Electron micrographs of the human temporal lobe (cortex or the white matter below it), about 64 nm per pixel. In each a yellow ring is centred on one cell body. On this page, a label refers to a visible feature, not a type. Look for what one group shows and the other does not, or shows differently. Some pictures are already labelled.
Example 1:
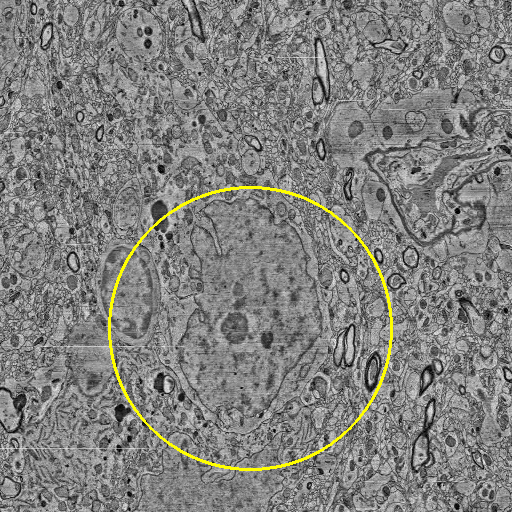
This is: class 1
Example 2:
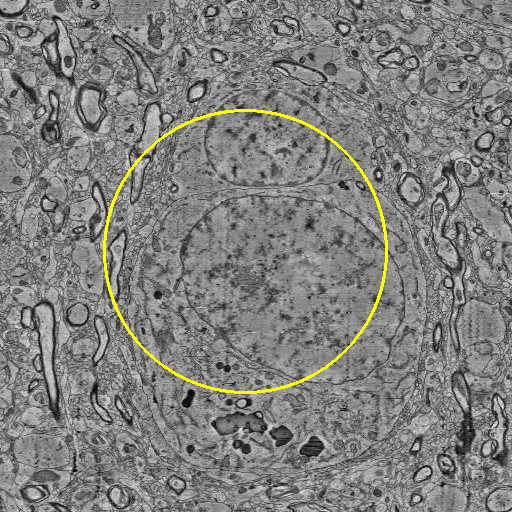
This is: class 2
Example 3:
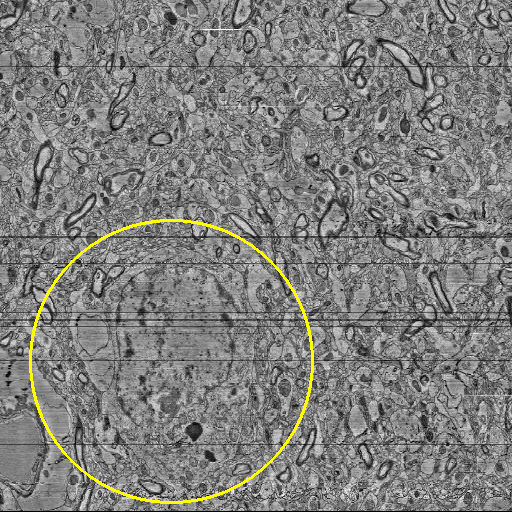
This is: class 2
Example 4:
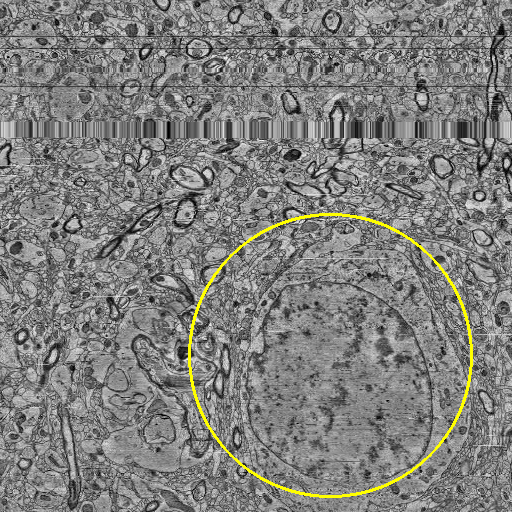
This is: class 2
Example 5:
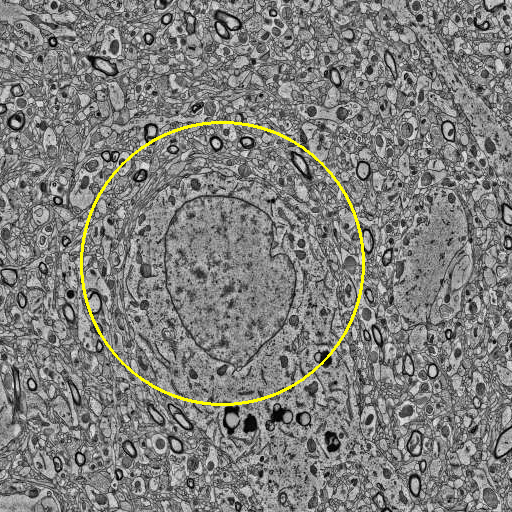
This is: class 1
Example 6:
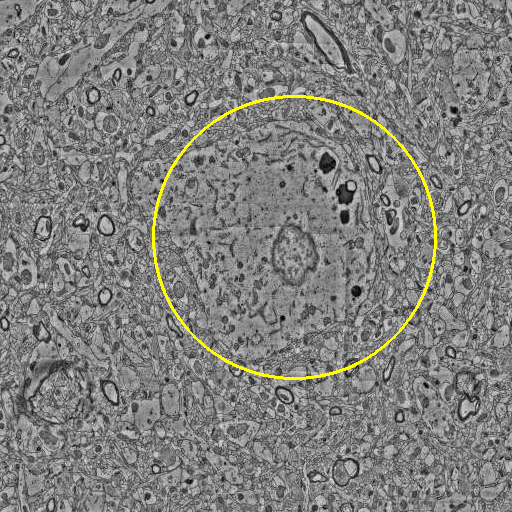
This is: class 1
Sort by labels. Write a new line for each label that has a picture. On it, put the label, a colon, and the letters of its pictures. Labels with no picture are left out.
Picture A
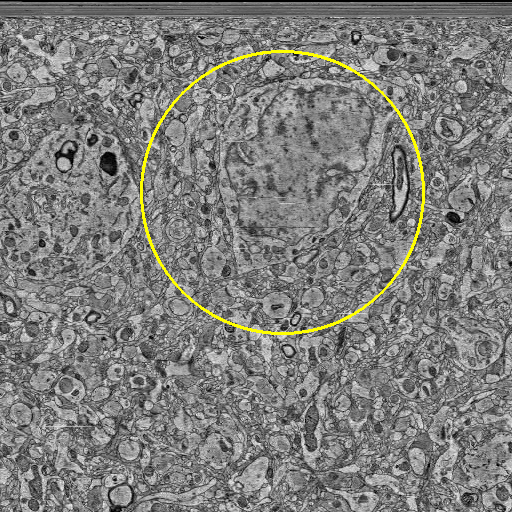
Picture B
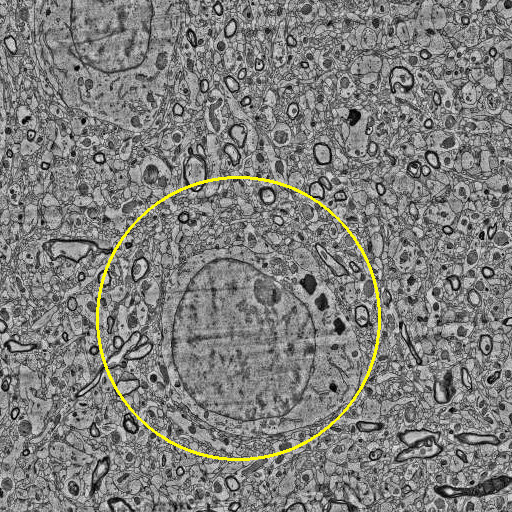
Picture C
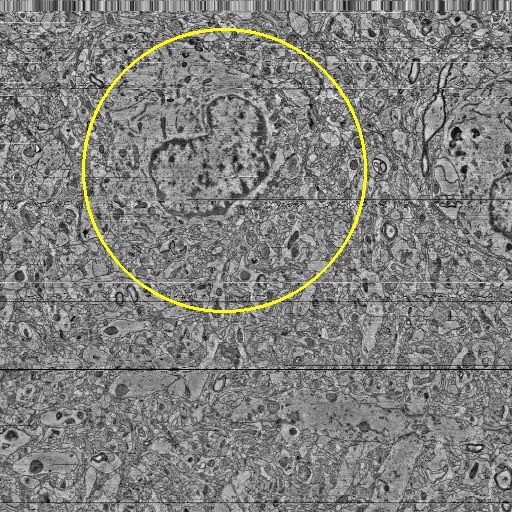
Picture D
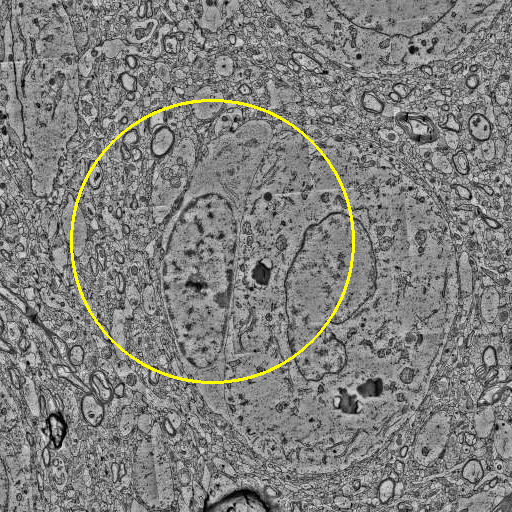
class 1: A, C
class 2: B, D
